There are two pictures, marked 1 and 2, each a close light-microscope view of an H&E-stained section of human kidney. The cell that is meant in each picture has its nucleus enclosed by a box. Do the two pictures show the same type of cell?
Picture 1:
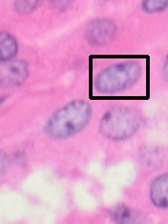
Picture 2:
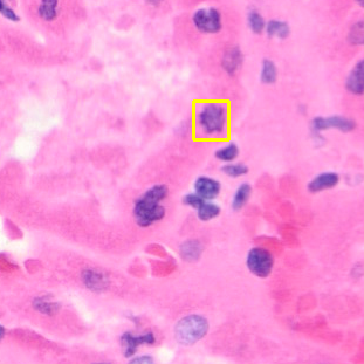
yes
